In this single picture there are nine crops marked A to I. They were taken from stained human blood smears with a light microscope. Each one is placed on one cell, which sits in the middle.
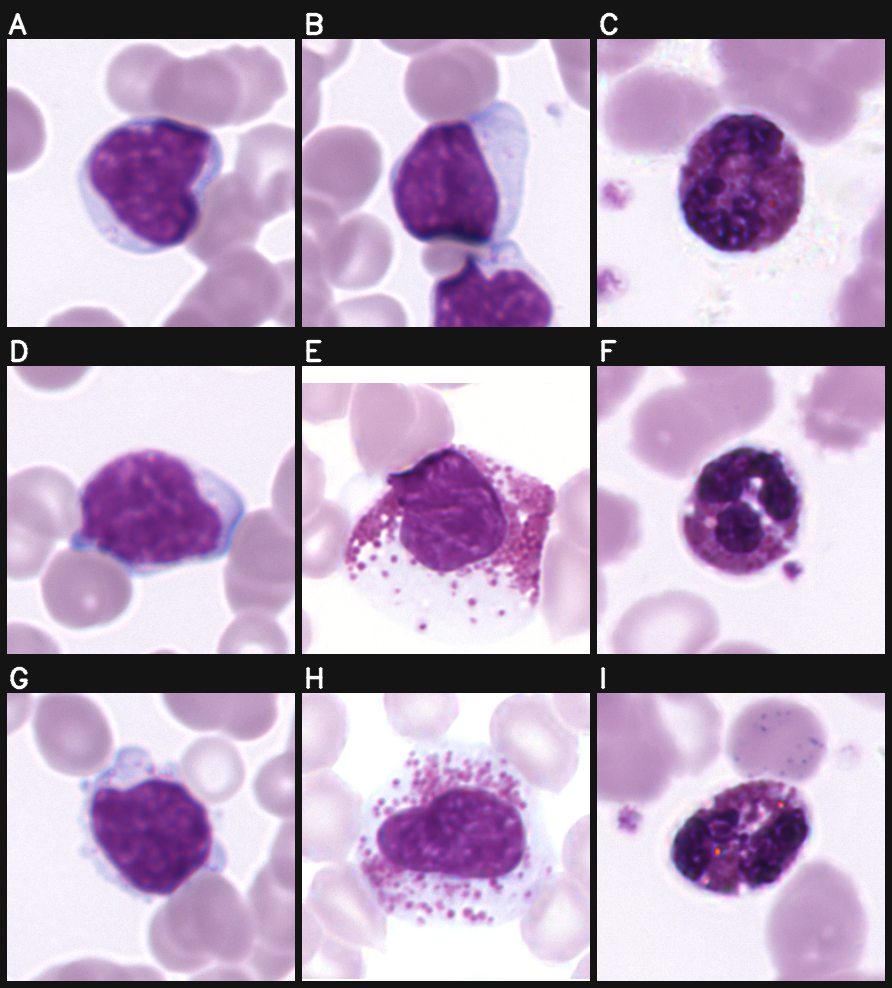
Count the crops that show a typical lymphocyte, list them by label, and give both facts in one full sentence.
No typical lymphocytes can be found in any of the crops, so the count is zero.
